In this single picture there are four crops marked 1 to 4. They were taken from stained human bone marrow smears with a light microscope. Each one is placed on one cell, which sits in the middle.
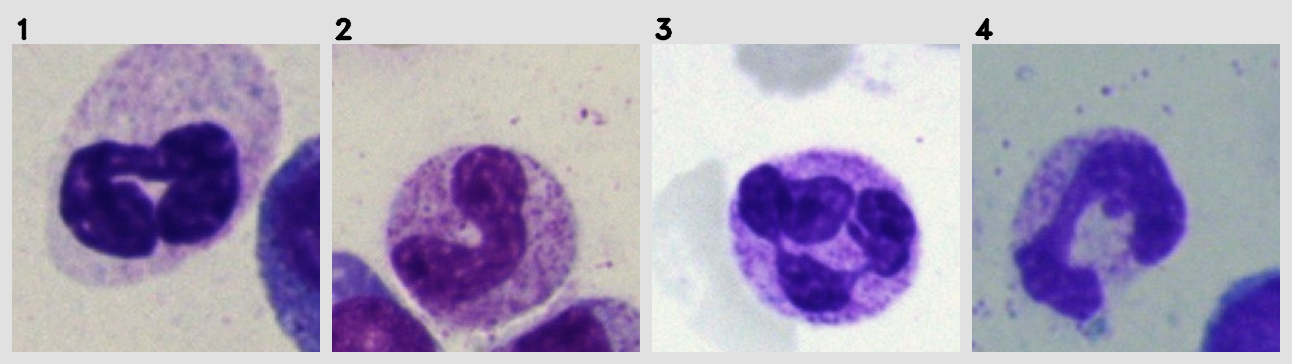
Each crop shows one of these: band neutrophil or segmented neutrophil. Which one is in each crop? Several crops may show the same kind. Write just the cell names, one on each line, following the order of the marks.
segmented neutrophil
band neutrophil
segmented neutrophil
segmented neutrophil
